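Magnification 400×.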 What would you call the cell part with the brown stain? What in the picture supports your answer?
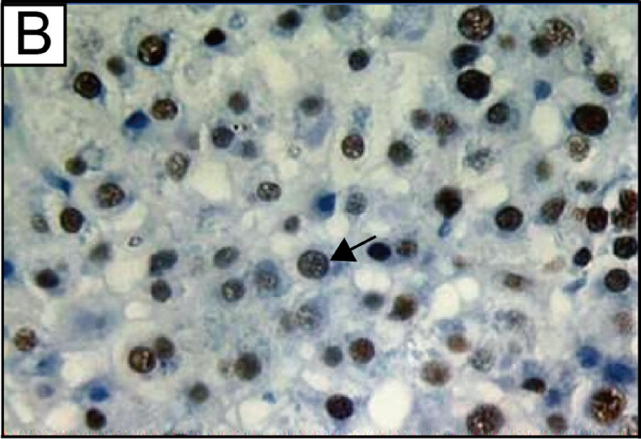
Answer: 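Nucleus. Brown granular staining lies within round central bodies of the cells. The cytoplasm around them is pale blue and unstained. Some round bodies stay blue only.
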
